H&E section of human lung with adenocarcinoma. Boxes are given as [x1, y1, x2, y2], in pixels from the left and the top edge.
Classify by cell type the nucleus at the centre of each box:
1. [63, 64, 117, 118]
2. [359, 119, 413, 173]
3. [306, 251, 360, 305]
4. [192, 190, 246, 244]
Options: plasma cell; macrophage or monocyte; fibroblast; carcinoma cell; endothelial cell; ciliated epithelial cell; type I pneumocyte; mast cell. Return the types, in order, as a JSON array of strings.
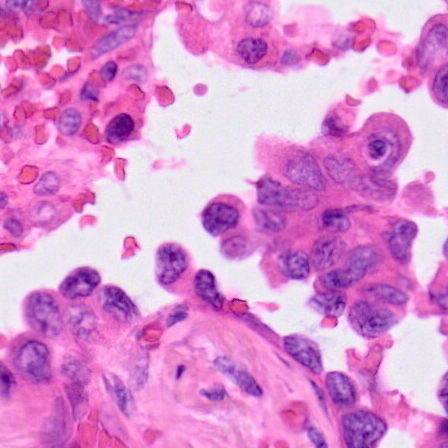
["macrophage or monocyte", "carcinoma cell", "carcinoma cell", "carcinoma cell"]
